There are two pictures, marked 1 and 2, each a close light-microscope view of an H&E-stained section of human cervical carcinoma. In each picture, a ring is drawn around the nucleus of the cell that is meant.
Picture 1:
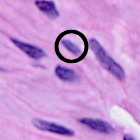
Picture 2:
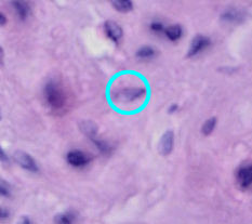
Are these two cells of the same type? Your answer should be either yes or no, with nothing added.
yes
